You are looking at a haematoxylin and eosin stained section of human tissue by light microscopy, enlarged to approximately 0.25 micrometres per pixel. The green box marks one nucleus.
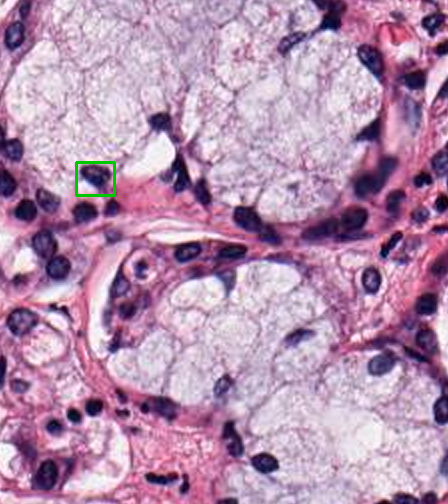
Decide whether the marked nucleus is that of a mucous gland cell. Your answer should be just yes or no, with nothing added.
yes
